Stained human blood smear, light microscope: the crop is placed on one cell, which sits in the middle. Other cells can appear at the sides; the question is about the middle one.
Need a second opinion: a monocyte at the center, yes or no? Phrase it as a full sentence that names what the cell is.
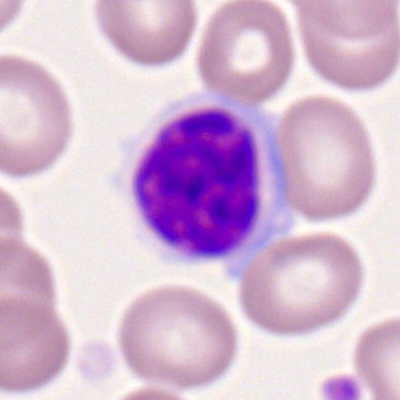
No, the cell positioned in the middle is a lymphocyte, not a monocyte.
